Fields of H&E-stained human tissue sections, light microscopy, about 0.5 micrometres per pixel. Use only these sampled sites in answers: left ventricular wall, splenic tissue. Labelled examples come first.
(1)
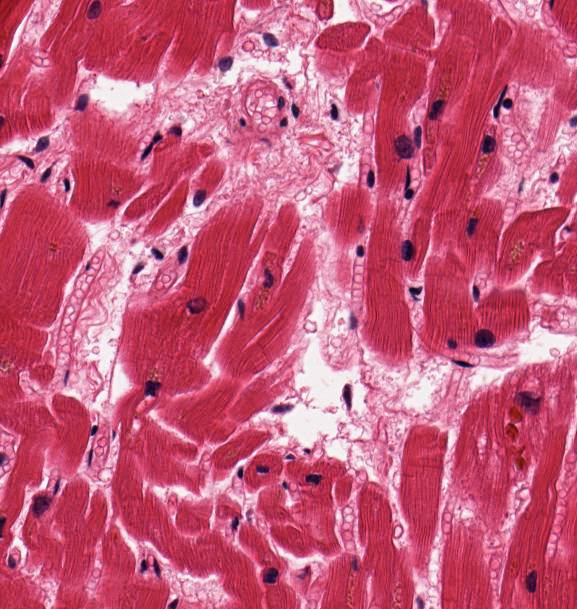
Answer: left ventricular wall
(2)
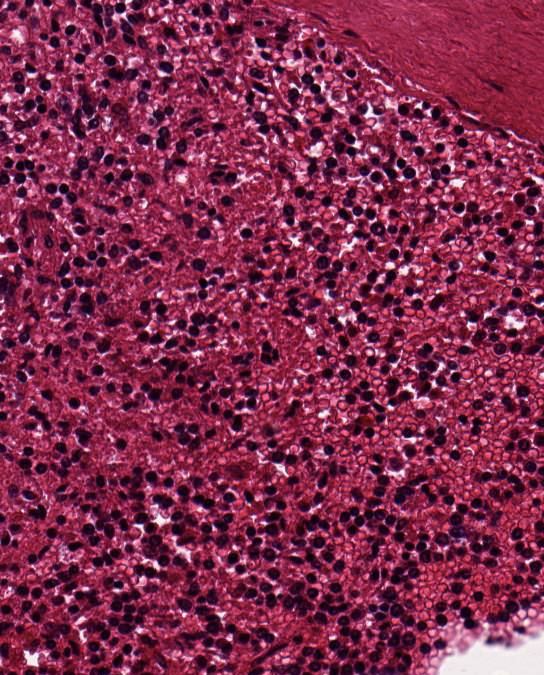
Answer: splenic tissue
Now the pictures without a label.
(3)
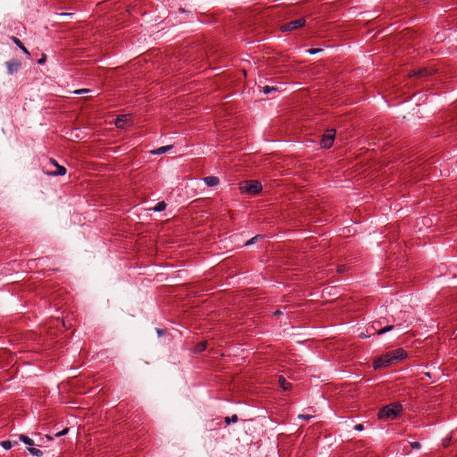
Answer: left ventricular wall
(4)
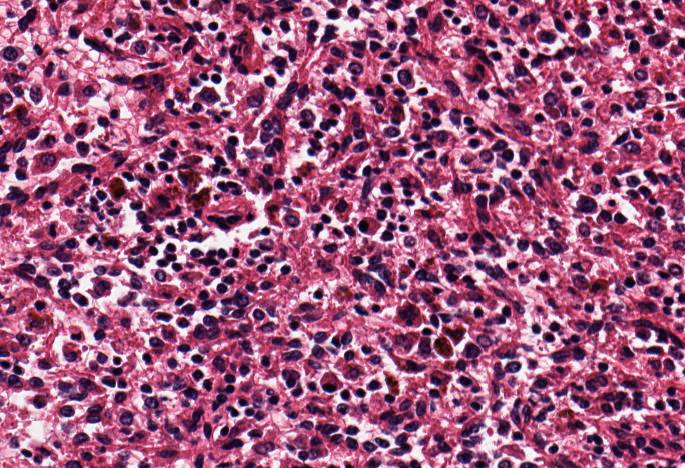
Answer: splenic tissue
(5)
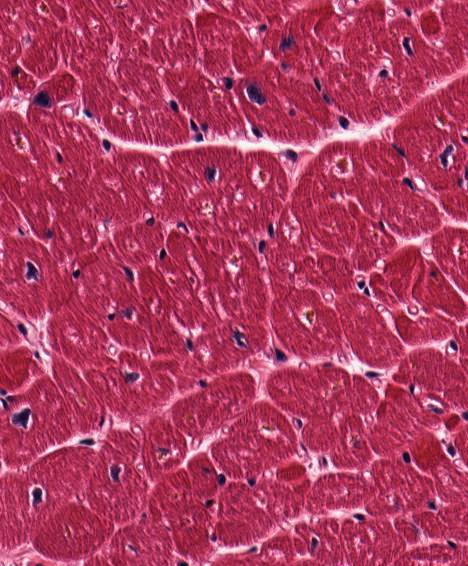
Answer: left ventricular wall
